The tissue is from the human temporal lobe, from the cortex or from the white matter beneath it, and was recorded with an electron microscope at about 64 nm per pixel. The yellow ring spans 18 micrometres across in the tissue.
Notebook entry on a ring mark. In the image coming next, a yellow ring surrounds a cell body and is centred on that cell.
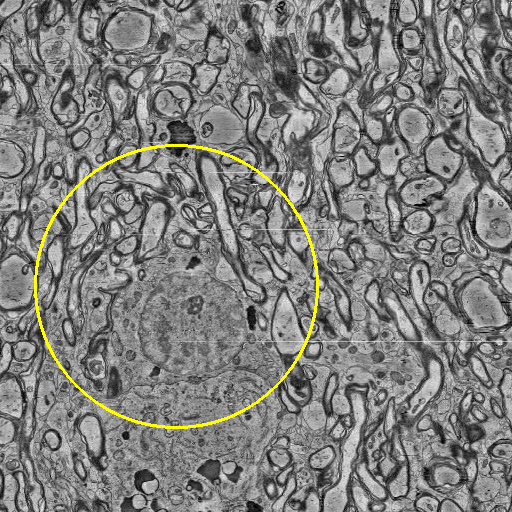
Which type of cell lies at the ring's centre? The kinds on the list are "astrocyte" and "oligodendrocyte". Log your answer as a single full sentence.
Centred in the yellow ring is an oligodendrocyte, the cell recorded for this image.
